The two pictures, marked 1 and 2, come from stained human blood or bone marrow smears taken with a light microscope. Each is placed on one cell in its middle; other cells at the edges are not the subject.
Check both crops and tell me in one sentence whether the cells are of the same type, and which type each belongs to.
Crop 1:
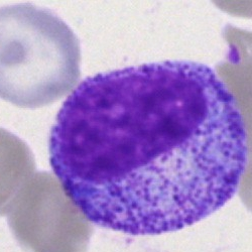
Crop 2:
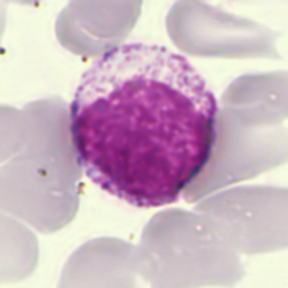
Yes, they do, both crops show myelocytes.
